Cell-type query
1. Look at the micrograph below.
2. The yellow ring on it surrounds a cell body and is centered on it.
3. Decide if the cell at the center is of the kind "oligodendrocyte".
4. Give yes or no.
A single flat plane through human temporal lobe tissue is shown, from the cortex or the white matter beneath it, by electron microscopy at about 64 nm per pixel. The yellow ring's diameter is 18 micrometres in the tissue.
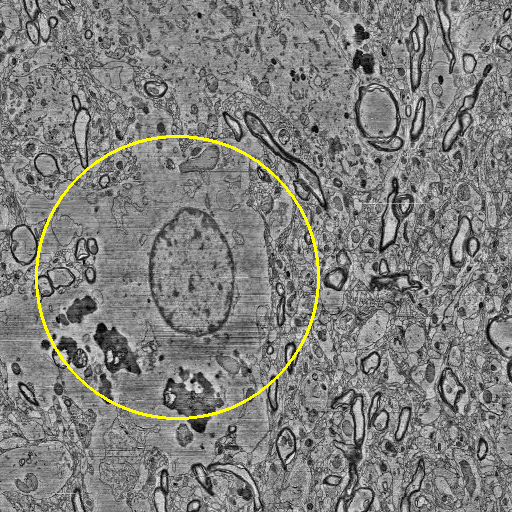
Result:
no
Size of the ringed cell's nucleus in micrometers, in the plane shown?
In this plane the nucleus is clearly longer than it is wide, at approximately 8 by 5 micrometres.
